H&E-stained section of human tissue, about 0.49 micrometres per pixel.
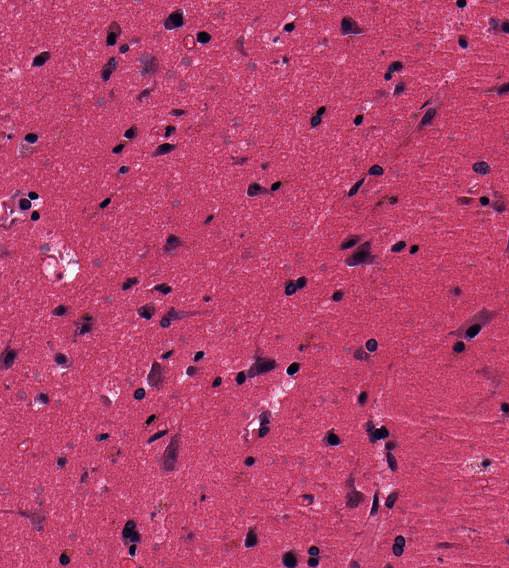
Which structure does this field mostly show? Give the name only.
cerebral cortex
